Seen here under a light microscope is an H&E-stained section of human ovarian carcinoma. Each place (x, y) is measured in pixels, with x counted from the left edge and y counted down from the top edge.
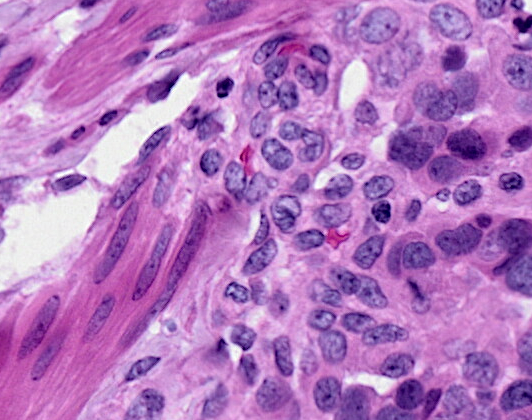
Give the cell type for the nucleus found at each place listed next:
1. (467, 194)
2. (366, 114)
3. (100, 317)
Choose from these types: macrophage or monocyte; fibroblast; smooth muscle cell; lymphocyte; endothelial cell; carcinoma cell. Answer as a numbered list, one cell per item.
1. macrophage or monocyte
2. macrophage or monocyte
3. smooth muscle cell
